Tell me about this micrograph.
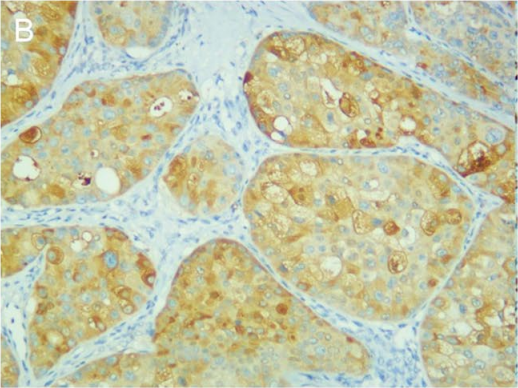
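The tumour cells have abundant cytoplasm that is stained brown, and their rounded nuclei are counterstained blue. Many cells hold clear vacuoles, and small lumen-like spaces lie within the nests, while the stromal cells between the nests stay unstained.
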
